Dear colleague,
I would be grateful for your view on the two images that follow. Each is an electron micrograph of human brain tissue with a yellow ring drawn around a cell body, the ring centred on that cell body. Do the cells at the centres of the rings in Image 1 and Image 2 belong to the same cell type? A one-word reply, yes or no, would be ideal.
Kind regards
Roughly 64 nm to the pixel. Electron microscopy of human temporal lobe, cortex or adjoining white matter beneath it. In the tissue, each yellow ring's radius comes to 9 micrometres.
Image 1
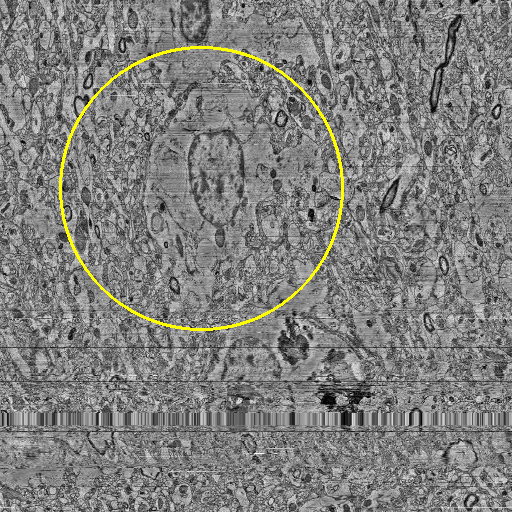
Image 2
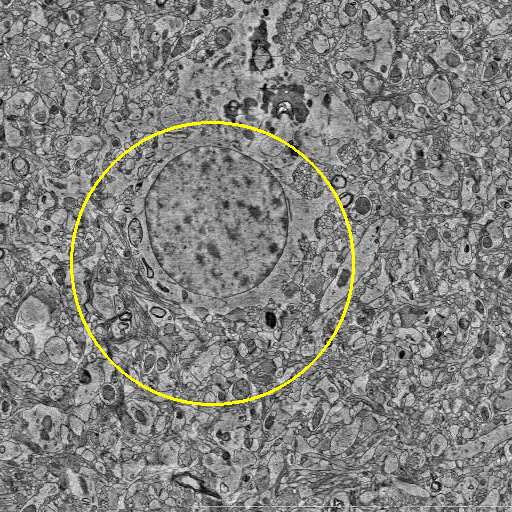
yes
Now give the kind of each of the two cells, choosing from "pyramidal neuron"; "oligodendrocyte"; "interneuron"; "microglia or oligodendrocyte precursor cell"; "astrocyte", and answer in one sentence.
In the first picture and in the second, the ring is centred on an astrocyte.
